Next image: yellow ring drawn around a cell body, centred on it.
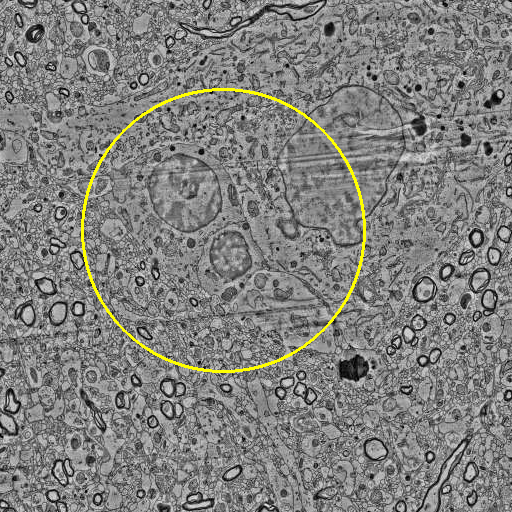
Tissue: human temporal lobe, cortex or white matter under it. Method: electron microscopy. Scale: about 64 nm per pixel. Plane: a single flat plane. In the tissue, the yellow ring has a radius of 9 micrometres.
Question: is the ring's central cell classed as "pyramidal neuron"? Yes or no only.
no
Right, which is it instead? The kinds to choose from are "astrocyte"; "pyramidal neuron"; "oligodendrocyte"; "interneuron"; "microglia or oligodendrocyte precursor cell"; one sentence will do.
The cell at the middle of the ring is an oligodendrocyte.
